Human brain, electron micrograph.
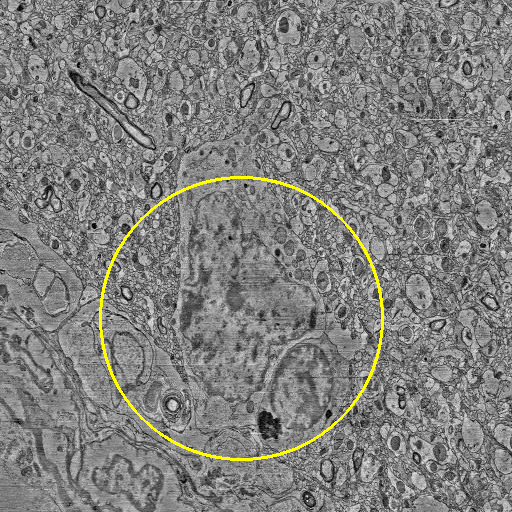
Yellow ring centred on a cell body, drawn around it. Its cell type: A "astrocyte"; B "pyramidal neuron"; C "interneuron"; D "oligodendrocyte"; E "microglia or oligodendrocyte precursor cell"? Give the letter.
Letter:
C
